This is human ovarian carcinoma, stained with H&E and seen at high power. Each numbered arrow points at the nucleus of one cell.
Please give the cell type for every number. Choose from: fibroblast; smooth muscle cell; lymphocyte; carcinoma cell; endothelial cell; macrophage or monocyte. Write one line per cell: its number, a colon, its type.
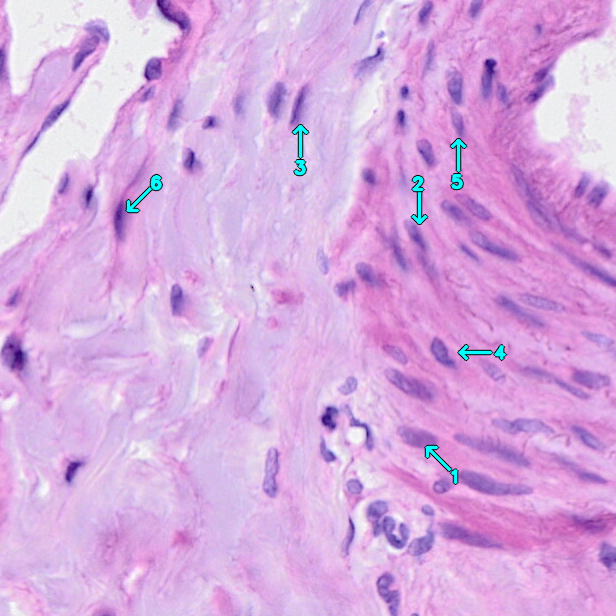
1: smooth muscle cell
2: smooth muscle cell
3: fibroblast
4: smooth muscle cell
5: smooth muscle cell
6: endothelial cell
